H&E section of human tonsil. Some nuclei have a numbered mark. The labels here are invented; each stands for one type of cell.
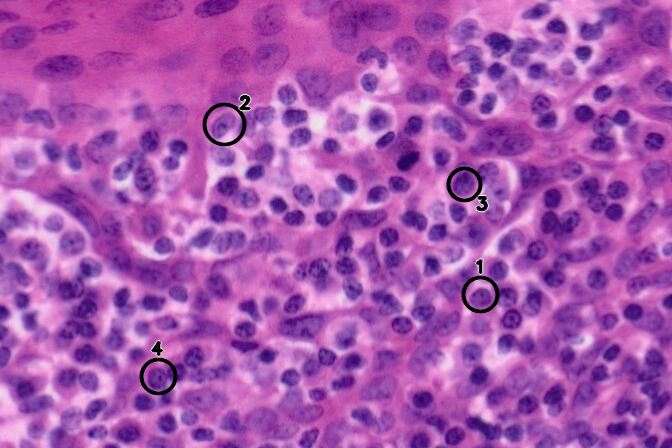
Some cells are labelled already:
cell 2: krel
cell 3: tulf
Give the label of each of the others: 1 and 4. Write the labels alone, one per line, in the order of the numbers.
tulf
tulf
